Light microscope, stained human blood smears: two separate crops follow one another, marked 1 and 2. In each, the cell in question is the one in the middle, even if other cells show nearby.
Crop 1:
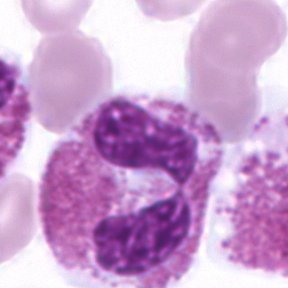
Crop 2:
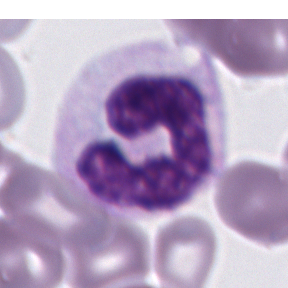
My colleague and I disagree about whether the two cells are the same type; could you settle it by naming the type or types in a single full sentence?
No, mark crop 1 as an eosinophil and crop 2 as a band neutrophil.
